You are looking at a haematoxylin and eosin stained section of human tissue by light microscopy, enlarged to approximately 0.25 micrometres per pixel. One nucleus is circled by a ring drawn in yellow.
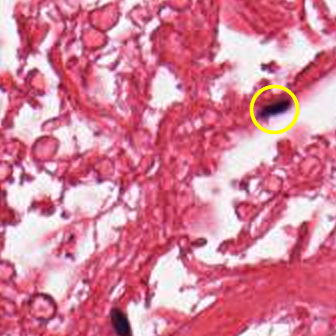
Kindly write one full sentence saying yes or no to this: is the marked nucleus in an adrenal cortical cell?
No, the marked nucleus belongs to a supporting cell, and an adrenal cortical cell is not its owner.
